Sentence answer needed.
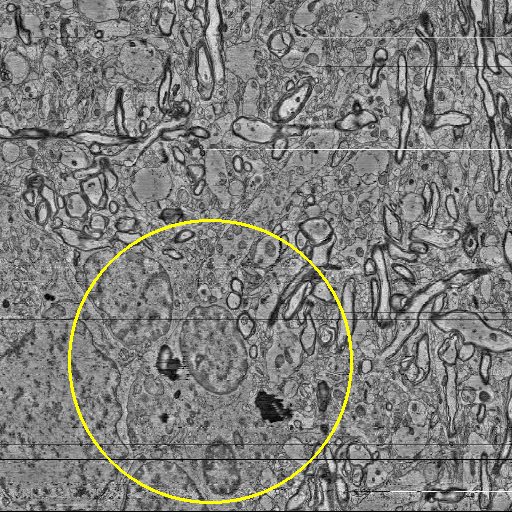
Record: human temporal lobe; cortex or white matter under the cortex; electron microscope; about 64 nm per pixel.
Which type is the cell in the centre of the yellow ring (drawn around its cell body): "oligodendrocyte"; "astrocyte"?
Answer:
In the centre of the yellow ring is an oligodendrocyte.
